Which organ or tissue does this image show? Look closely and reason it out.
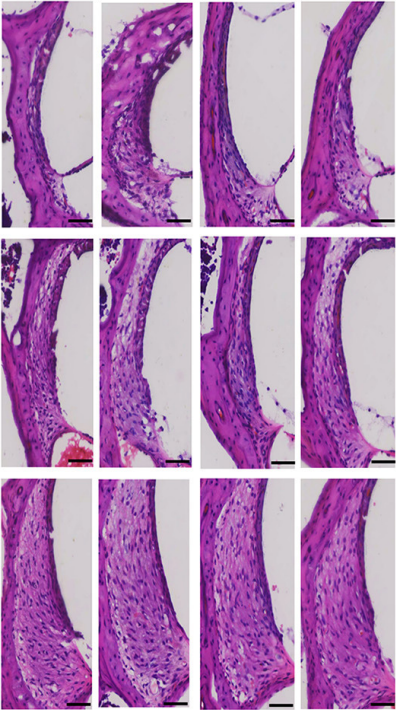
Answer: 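A crescent-shaped band of loose pink connective tissue with scattered small nuclei. The band lies against pink-stained bone and borders an open space. On this evidence: spiral ligament.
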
